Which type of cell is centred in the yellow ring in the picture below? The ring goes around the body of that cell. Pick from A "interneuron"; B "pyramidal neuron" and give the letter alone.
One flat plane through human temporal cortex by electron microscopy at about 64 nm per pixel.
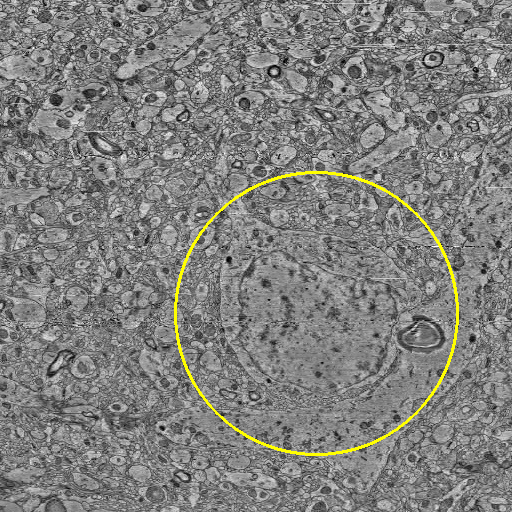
A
